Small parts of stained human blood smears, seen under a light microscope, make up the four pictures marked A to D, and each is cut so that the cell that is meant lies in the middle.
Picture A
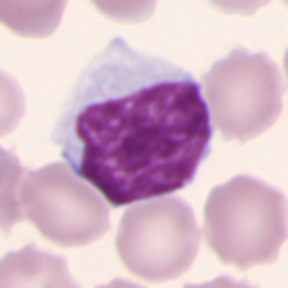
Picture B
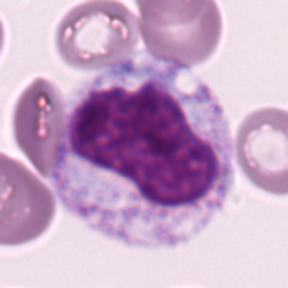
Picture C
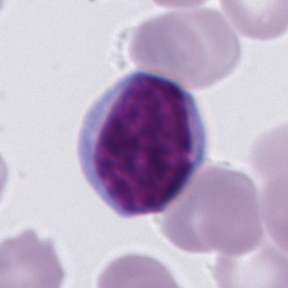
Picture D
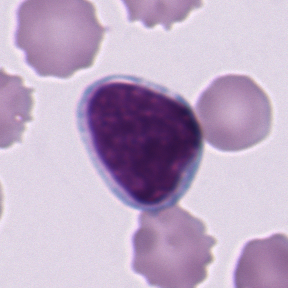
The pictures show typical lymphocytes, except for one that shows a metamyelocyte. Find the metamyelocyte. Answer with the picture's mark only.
B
